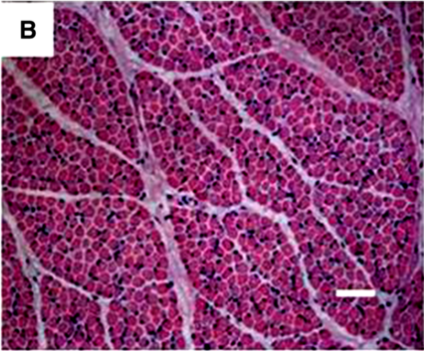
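This cross section of skeletal muscle shows many small myofibres cut transversely, each appearing as a polygonal pink-red profile. The fibres are packed tightly together into bundles, and each bundle is surrounded by a pale grey-pink band of connective tissue. Dark purple nuclei lie at the edges of the fibres rather than in their centres. Between neighbouring fibres within a bundle there is only a thin pale line of connective tissue.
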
